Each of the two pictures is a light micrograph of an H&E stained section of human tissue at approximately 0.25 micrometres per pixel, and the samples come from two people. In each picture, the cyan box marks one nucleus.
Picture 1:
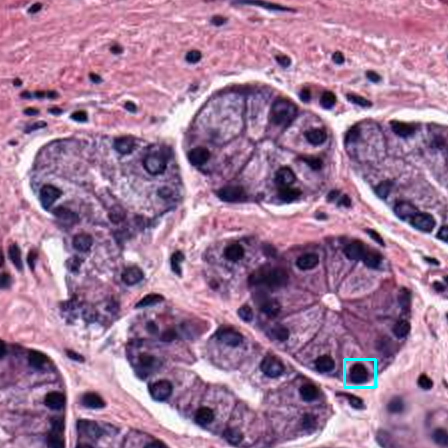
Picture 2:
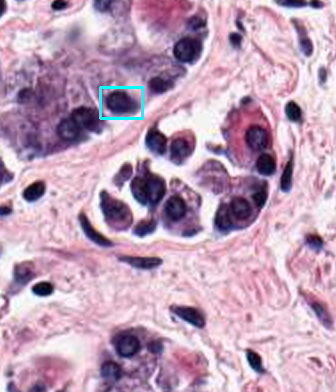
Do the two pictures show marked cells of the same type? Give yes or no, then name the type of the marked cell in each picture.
Yes, both are chief cells.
